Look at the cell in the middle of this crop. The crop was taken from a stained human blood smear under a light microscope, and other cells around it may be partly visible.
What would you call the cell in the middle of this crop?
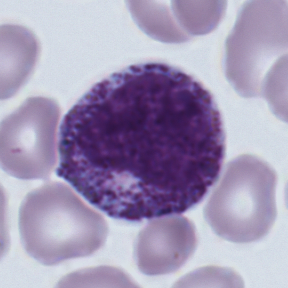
promyelocyte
